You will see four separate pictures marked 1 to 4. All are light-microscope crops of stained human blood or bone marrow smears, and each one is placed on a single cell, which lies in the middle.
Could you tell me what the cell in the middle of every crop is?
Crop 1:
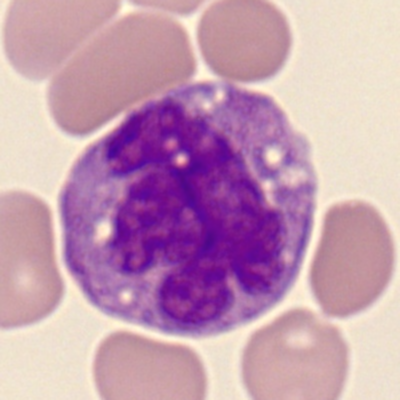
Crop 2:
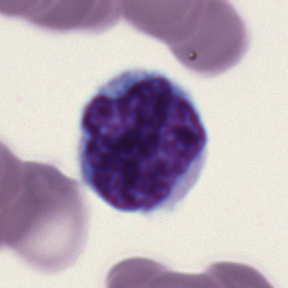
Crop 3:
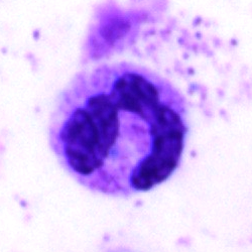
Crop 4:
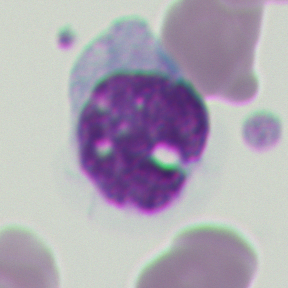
1: monocyte
2: monocyte
3: neutrophil
4: monocyte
